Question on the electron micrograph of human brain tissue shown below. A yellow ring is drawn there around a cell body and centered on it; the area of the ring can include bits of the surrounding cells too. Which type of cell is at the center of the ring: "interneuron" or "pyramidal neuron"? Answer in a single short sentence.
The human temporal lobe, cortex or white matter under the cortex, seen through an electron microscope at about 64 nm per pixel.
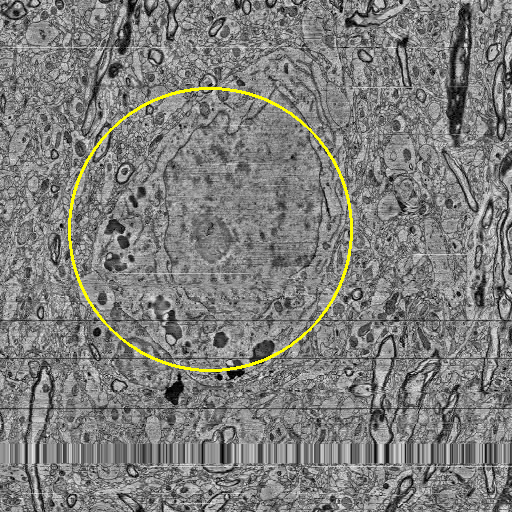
The ring is centered on an interneuron.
